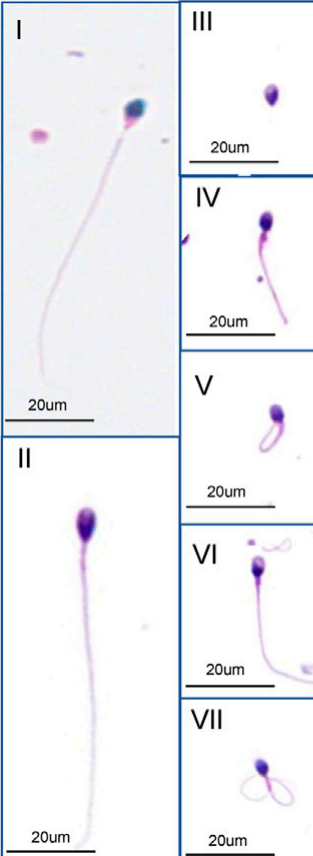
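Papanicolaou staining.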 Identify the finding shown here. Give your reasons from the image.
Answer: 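Several cells have a tail much shorter than the long tails of others. In some images the tail curls into loops next to the head. One cell shows a head with hardly any tail. The answer: multiple malformations.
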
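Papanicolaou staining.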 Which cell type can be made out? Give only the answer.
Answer: spermatozoa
